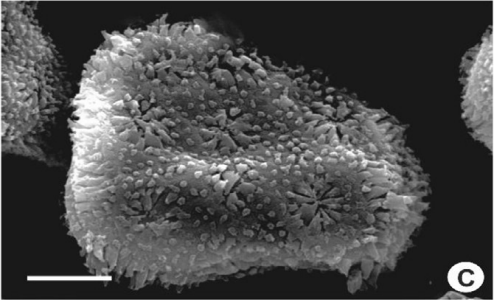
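A single mature spore is seen whole, a rounded-triangular body against a dark background. Its surface is densely set with short spiny projections, which in places are elongated and radiate in star-like patterns, and the projections stand out as a fringe along the margins.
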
